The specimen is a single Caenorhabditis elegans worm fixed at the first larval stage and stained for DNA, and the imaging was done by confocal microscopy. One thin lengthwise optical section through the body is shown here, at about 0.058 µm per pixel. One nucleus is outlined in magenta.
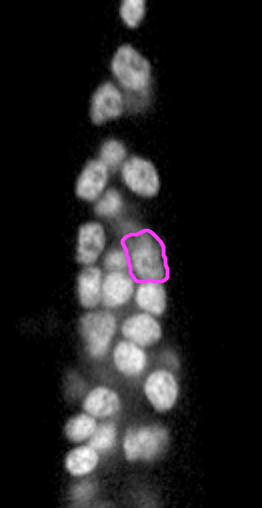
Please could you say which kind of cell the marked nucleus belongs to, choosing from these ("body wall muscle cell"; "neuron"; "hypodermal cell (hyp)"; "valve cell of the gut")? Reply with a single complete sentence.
The marked cell is a body wall muscle cell.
